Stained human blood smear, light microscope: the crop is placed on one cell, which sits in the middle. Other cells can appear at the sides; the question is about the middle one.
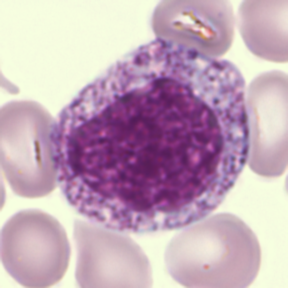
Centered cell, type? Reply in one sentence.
The cell of interest, in the center, is a myelocyte.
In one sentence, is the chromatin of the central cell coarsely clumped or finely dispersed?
Thanks for asking; the chromatin is coarsely clumped.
